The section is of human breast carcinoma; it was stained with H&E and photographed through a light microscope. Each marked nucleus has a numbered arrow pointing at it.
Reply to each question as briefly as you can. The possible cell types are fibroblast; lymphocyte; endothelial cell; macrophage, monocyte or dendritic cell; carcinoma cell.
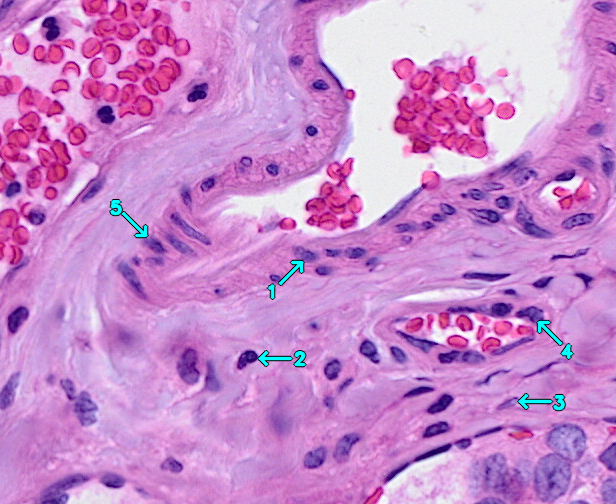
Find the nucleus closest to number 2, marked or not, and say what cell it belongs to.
fibroblast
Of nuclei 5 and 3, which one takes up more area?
5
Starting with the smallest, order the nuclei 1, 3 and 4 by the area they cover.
3, 1, 4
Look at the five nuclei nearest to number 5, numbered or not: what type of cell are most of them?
endothelial cell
